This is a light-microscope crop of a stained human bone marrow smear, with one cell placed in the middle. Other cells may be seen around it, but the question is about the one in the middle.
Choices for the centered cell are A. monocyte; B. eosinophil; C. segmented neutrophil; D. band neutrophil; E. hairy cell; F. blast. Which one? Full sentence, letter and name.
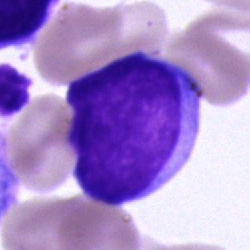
This one is option F, since the cell at the center is a blast.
